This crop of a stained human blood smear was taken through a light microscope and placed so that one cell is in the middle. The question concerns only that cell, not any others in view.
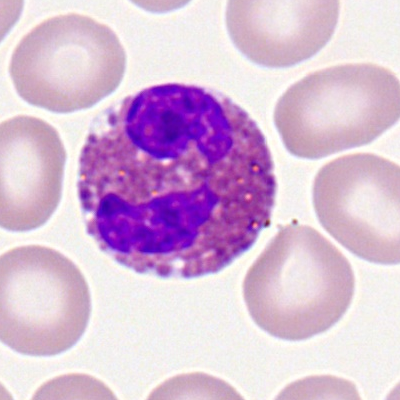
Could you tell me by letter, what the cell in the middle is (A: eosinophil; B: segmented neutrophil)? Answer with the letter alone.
A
